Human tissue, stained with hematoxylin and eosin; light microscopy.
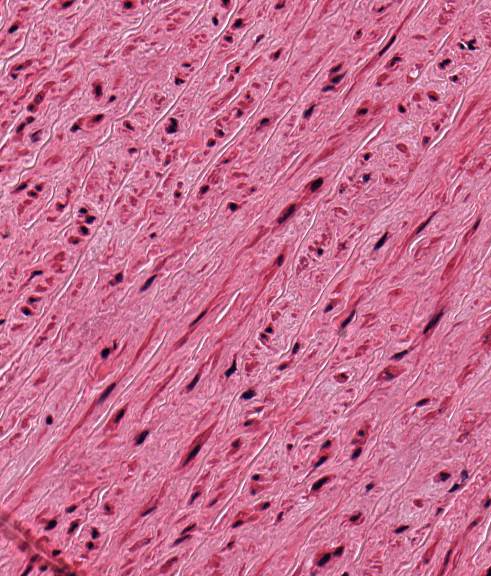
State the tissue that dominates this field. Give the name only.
tunica media of an artery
